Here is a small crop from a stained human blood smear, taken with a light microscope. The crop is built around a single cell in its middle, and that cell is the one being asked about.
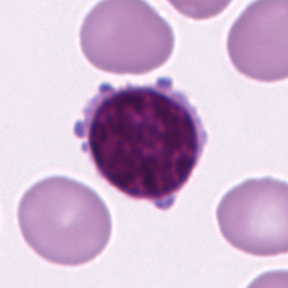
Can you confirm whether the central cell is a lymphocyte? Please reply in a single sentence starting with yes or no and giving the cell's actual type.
Yes, centred in the crop is a lymphocyte.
